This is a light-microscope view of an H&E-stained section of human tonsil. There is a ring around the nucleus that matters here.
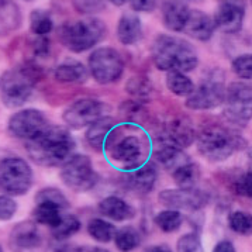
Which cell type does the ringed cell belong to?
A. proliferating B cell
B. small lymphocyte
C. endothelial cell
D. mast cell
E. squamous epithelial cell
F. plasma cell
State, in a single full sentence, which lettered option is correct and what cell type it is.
The statement that the ringed cell is a proliferating B cell corresponds to option A, the correct one.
